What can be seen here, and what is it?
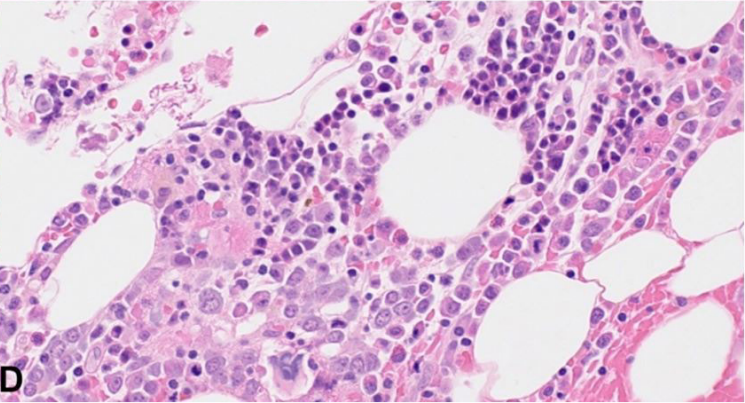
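Within a hemorrhagic area, a mixed population of immature blood-forming cells lies among clear fat vacuoles. Clusters of small round cells with dark, dense nuclei fit erythroid precursors, while scattered larger cells with abundant pink cytoplasm and large nuclei suggest megakaryocytes and other immature forms. Strands of pink fibrous tissue and a few red blood cells lie between them.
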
